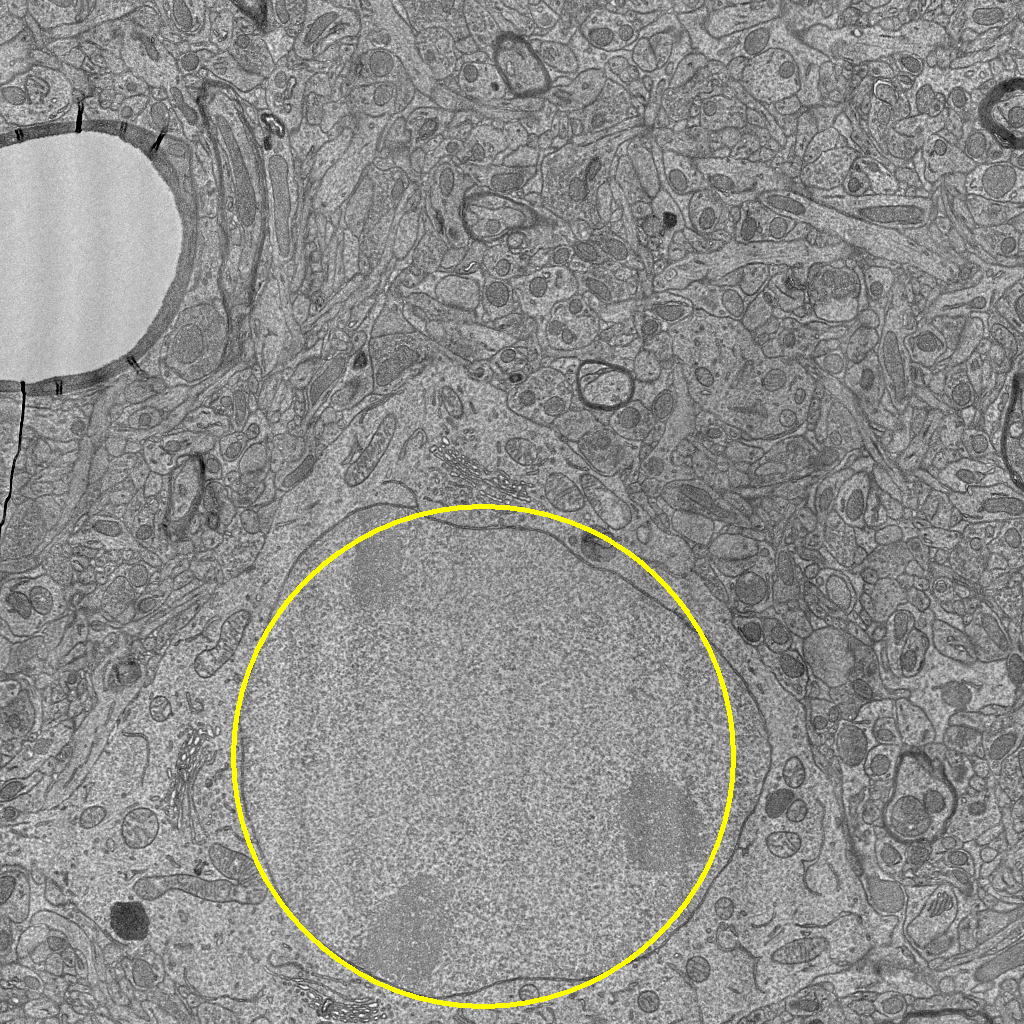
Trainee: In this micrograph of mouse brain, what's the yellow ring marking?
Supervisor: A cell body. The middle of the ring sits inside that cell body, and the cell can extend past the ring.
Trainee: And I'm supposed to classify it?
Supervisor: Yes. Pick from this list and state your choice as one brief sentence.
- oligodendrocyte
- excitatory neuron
The cell at the ring's center is an excitatory neuron.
